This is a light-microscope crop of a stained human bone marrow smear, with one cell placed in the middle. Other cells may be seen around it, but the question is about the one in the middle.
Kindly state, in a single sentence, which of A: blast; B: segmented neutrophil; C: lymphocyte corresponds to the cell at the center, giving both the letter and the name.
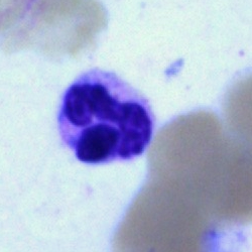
The central cell, a segmented neutrophil, is correctly identified by option B.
